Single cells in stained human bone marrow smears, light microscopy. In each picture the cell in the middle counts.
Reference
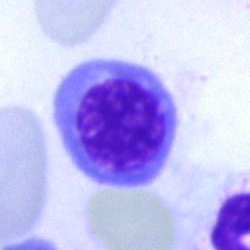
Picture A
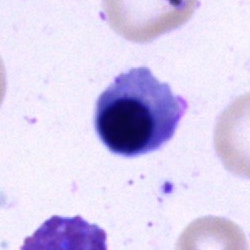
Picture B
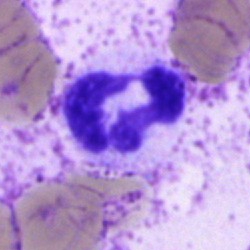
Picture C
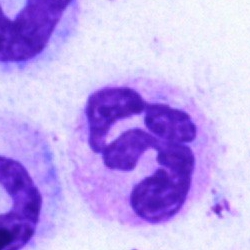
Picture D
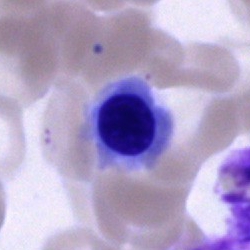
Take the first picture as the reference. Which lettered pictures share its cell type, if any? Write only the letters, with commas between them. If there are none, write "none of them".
A, D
